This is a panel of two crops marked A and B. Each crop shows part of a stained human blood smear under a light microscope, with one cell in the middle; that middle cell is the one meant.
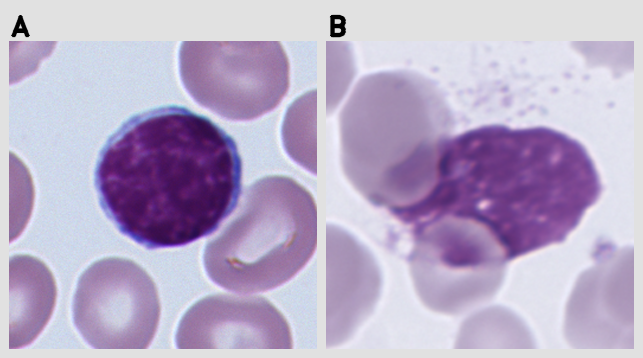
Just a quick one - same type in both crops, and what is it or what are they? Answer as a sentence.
No, crop A displays a typical lymphocyte, and crop B displays a smudge cell.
